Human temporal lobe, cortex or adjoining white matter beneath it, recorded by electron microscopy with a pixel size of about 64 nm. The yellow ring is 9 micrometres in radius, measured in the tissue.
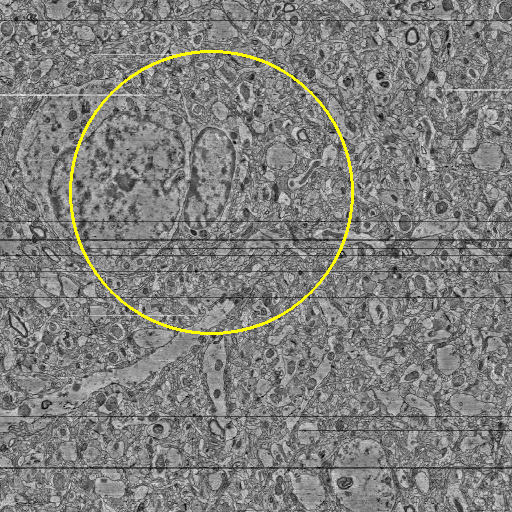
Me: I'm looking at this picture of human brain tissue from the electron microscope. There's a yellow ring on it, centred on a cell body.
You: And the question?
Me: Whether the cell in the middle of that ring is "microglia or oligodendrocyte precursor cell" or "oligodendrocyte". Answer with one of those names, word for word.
microglia or oligodendrocyte precursor cell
